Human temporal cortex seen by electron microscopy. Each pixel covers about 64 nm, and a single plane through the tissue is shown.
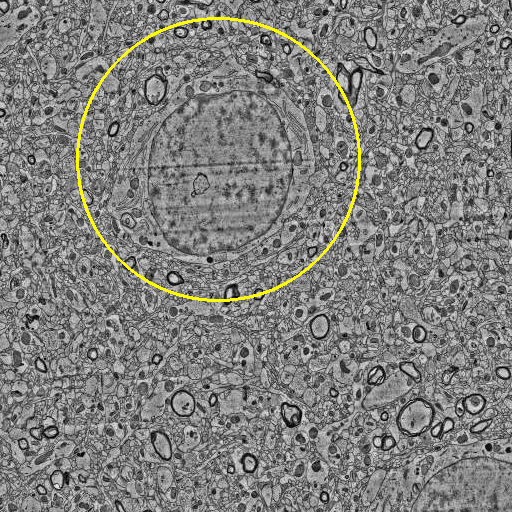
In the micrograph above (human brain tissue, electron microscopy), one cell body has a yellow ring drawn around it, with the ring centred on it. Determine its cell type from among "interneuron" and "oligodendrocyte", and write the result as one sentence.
The cell whose body is ringed is an interneuron.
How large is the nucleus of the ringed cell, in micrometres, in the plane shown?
The nucleus measures about 11 by 9 micrometres in this plane.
